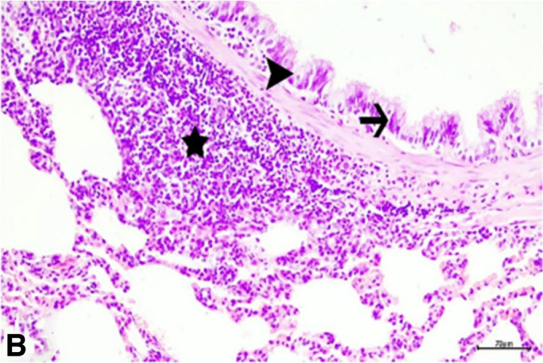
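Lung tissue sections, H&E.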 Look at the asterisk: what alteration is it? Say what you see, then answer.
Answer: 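A dense sheet of small round cells with dark purple nuclei and scant cytoplasm fills the area at the asterisk. The cell mass lies in the wall beneath the airway lining, extending toward the alveoli.
Conclusion: mononuclear cell infiltrates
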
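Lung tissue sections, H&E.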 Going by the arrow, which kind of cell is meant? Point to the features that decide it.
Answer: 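The arrow points at the tall columnar cells lining a large airway lumen. The lining forms folds along a wall of smooth muscle and connective tissue.
Hence: bronchial epithelial cells.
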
